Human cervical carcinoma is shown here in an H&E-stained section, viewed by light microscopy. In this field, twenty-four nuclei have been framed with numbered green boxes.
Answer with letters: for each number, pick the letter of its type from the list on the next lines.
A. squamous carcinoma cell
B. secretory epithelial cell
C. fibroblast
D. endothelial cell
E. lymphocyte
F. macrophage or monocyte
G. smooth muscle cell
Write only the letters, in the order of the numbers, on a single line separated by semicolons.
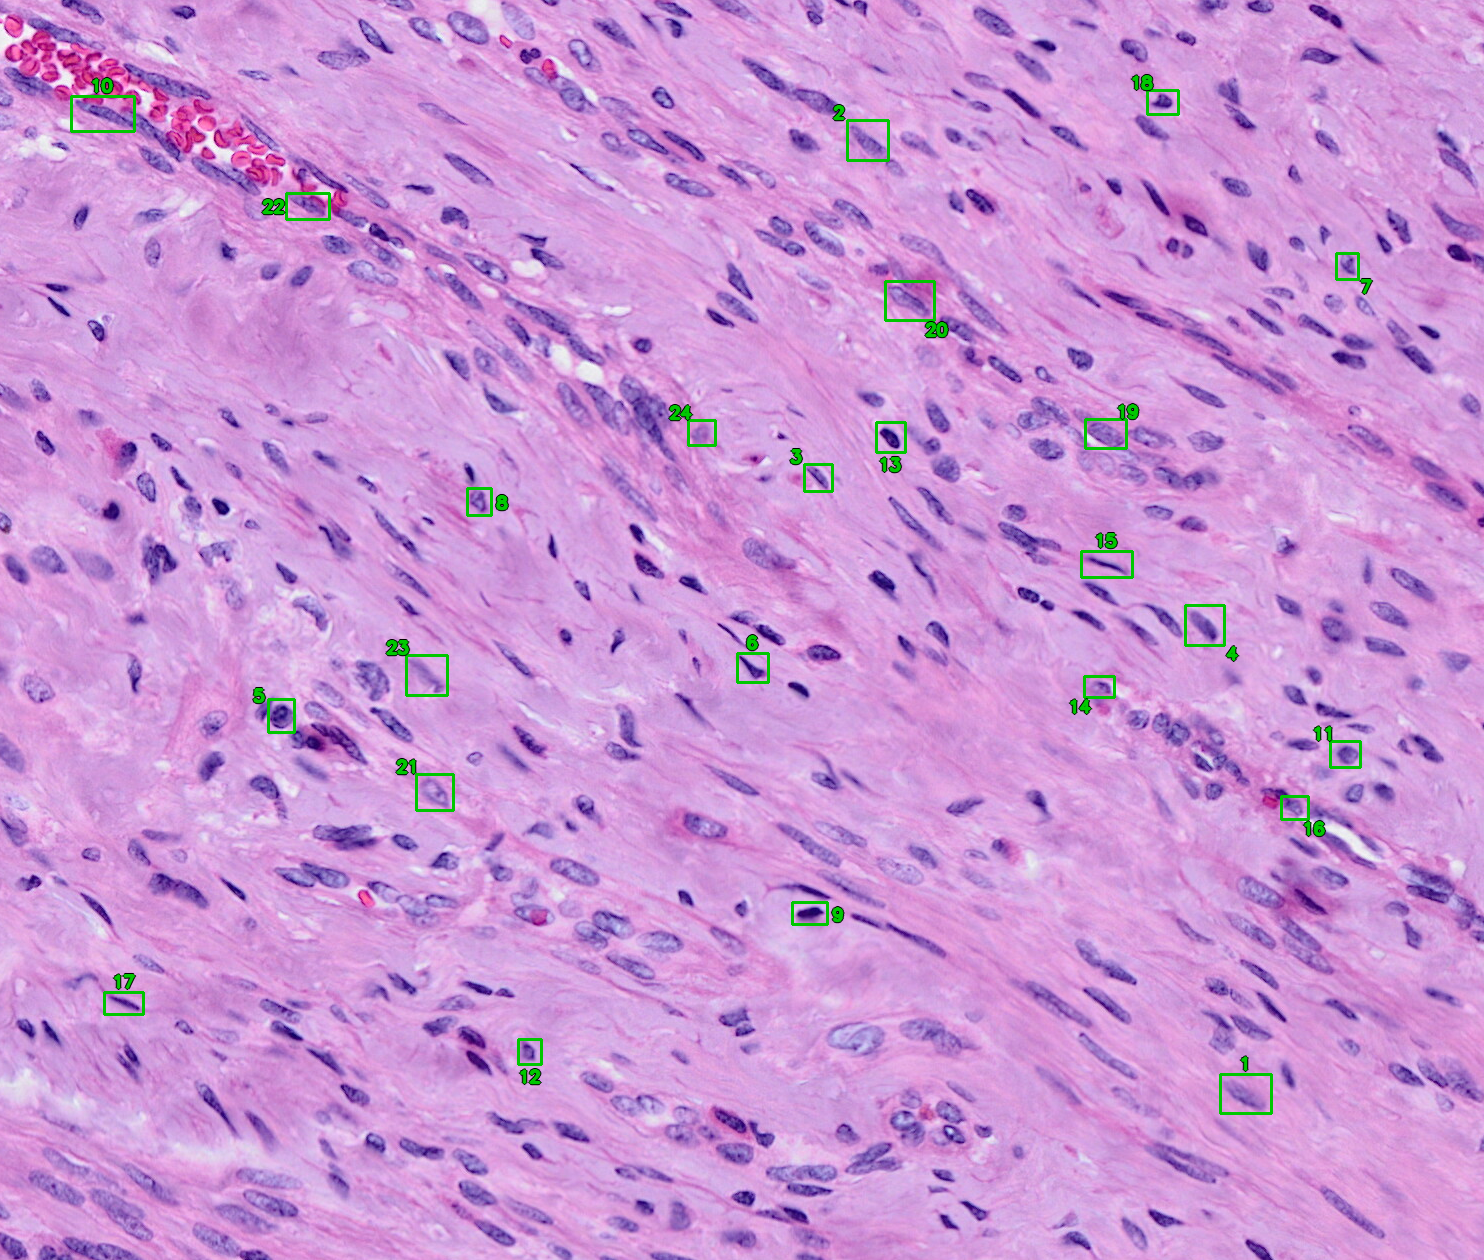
C; C; C; C; E; C; C; G; E; D; C; C; E; D; C; D; C; C; D; D; D; D; C; G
